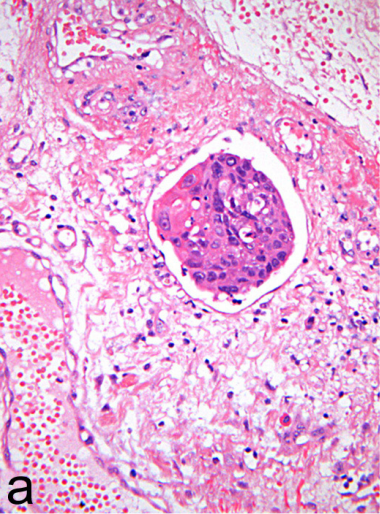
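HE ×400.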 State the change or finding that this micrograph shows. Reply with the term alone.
Lymphangiosis carcinomatosa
